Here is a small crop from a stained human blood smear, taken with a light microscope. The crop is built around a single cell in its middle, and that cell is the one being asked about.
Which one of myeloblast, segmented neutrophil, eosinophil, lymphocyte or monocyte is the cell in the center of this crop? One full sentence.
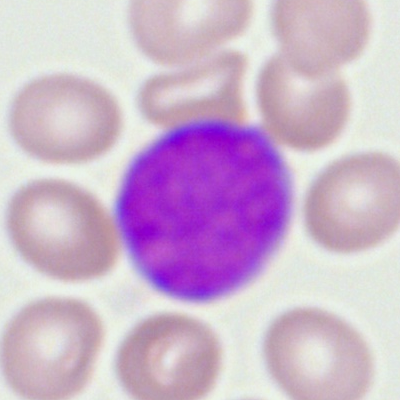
The cell at the middle of the crop is recognized as a myeloblast.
